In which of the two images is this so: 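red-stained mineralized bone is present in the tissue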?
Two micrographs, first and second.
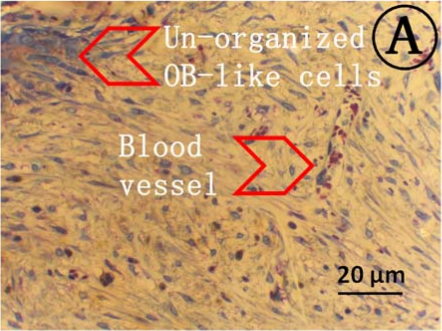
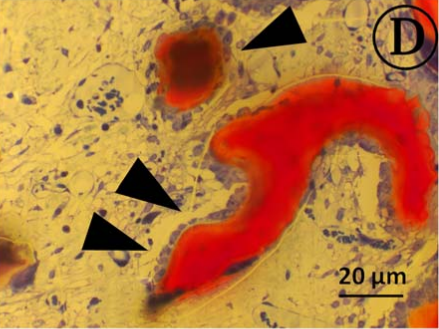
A: the second image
